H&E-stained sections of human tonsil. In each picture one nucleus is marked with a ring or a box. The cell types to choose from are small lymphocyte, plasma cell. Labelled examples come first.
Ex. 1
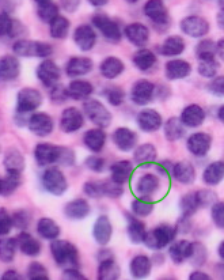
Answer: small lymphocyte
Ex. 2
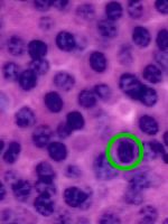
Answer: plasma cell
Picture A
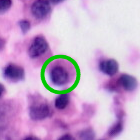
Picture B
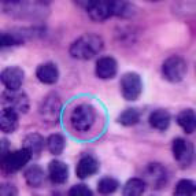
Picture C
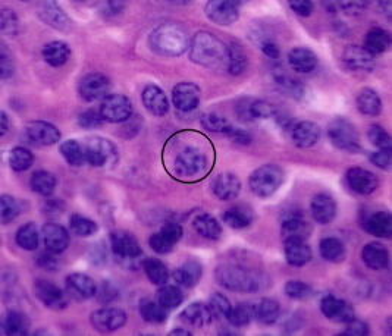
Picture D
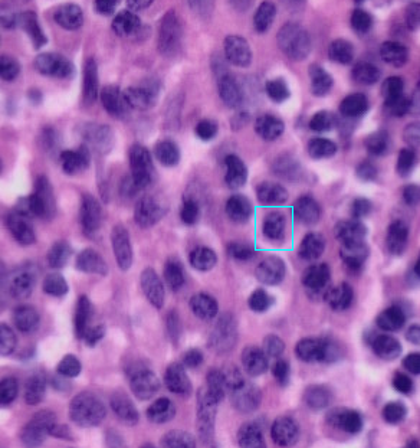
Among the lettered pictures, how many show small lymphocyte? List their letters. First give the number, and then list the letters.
0, none of them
